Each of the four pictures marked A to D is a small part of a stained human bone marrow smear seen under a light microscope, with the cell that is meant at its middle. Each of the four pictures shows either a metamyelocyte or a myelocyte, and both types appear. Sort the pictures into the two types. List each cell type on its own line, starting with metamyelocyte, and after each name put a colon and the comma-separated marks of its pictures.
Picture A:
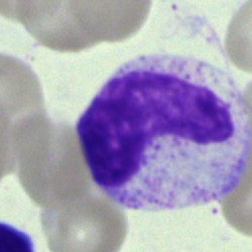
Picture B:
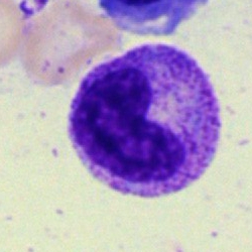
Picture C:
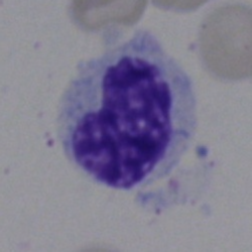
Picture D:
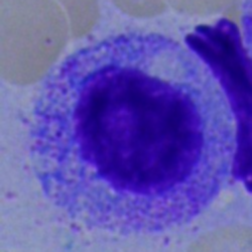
metamyelocyte: A, B, C
myelocyte: D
